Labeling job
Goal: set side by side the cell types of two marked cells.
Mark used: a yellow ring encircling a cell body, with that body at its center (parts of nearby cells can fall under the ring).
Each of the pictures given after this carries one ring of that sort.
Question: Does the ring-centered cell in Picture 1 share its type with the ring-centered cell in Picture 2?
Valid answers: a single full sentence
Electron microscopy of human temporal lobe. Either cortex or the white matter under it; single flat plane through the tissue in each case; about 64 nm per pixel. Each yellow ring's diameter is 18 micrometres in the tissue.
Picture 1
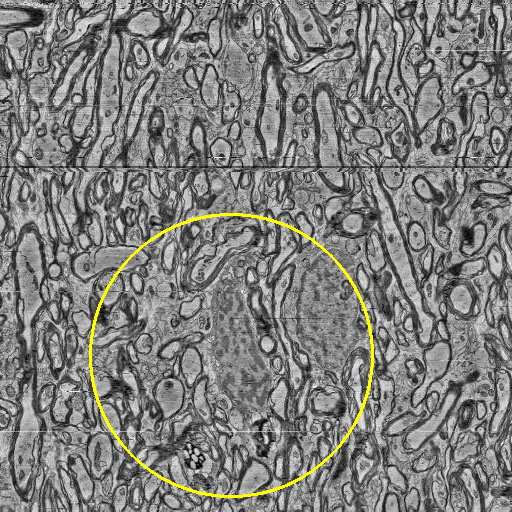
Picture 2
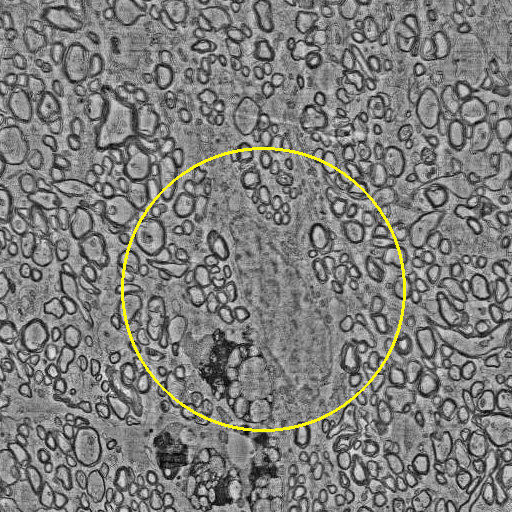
Yes, in Pictures 1 and 2 the cells at the ring centers share one type.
